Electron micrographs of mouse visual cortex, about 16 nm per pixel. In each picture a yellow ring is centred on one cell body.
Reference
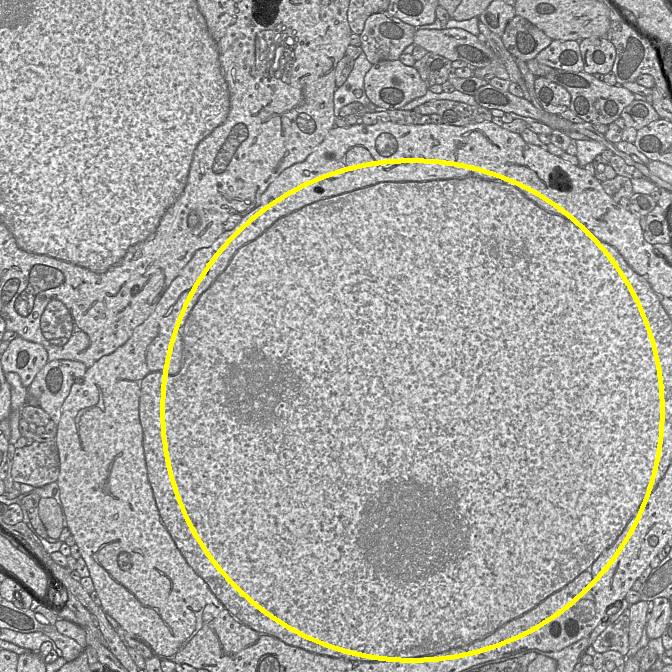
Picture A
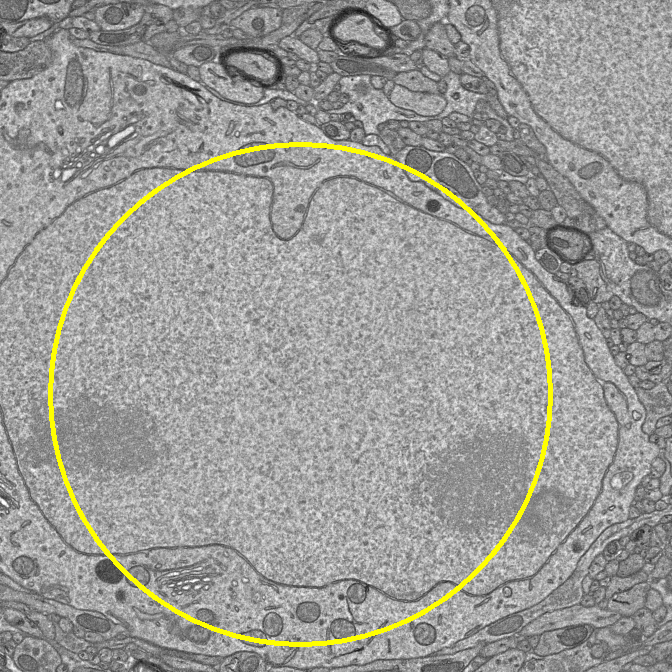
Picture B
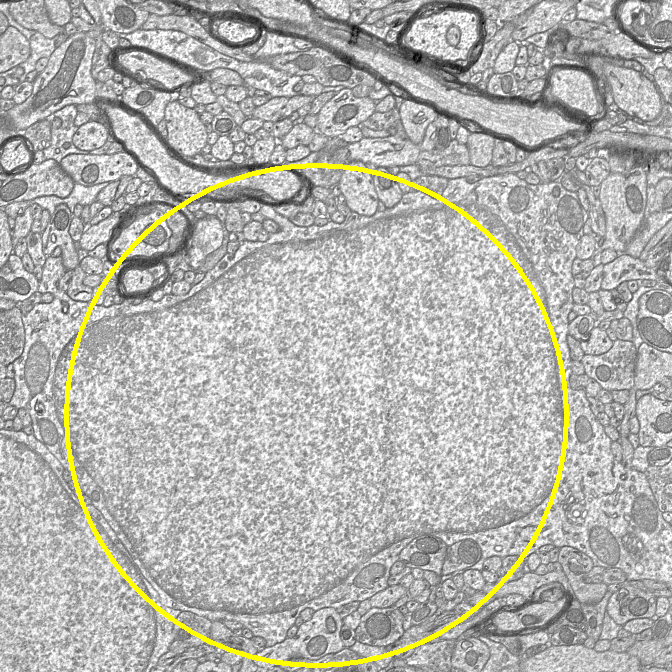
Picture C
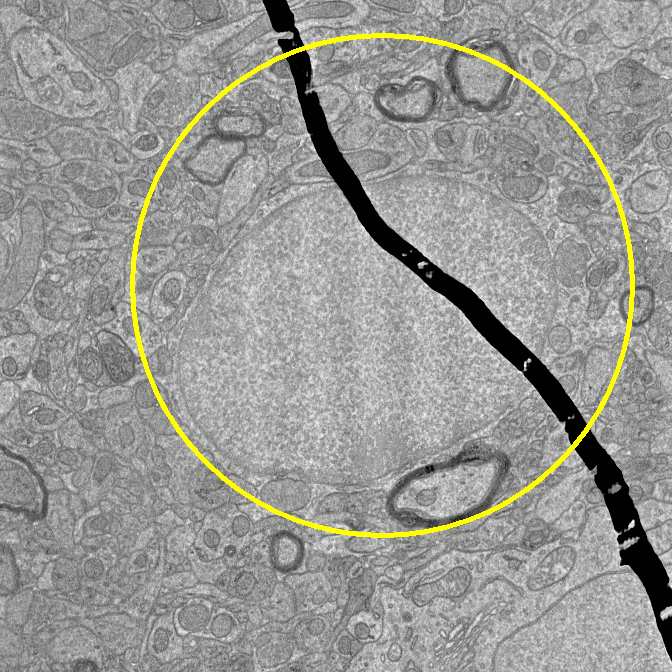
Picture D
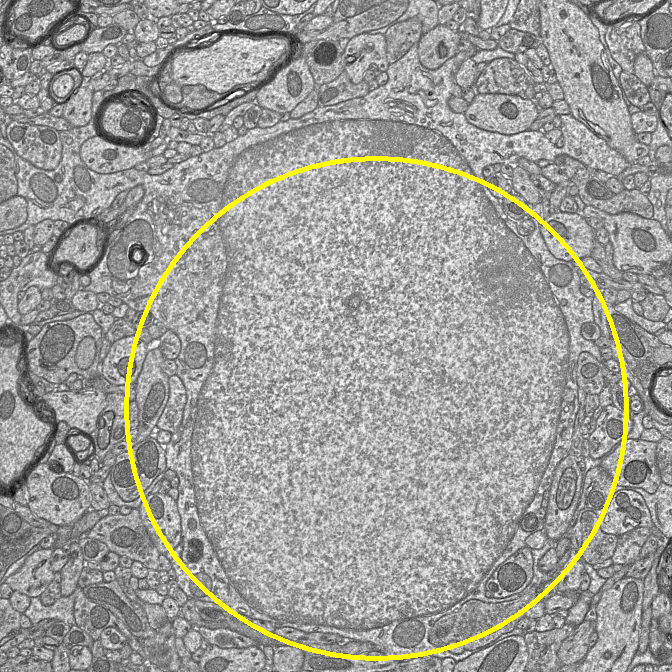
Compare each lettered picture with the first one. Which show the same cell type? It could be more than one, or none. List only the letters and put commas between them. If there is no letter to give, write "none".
A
